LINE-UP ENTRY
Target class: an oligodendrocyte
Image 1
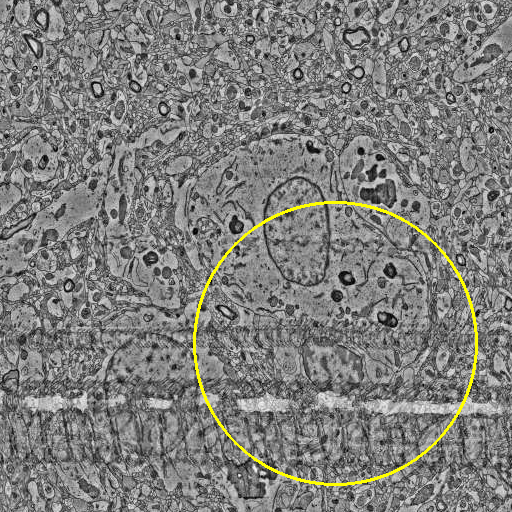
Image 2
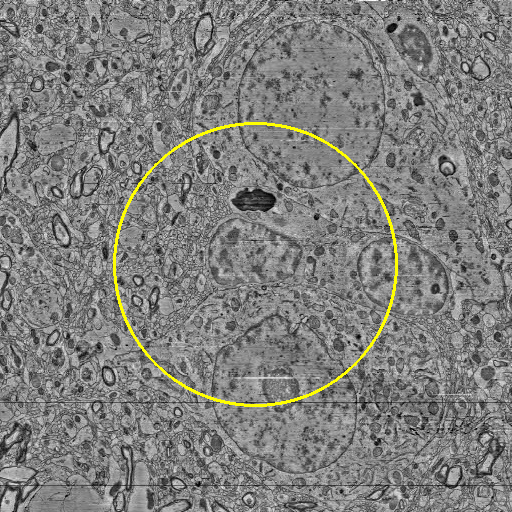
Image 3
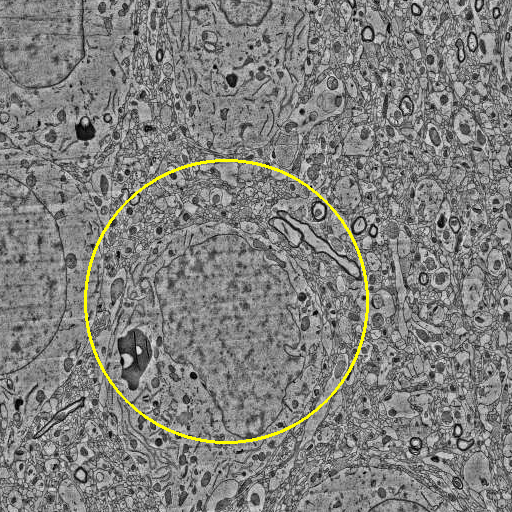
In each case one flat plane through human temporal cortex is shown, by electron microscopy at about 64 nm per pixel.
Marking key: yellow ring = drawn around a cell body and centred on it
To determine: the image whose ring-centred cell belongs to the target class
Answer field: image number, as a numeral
2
